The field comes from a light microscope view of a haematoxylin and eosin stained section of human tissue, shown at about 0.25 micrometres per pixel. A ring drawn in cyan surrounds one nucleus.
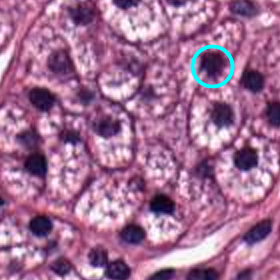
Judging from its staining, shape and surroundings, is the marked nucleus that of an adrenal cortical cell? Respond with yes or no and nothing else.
yes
